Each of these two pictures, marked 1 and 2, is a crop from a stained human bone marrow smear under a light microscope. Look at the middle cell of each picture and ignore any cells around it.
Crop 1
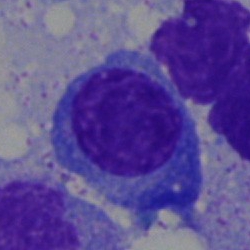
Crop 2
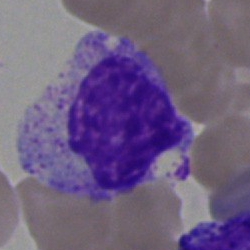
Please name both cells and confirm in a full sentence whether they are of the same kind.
No, it is in crop 1 that a plasma cell is shown, and in crop 2 that a myelocyte is shown.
